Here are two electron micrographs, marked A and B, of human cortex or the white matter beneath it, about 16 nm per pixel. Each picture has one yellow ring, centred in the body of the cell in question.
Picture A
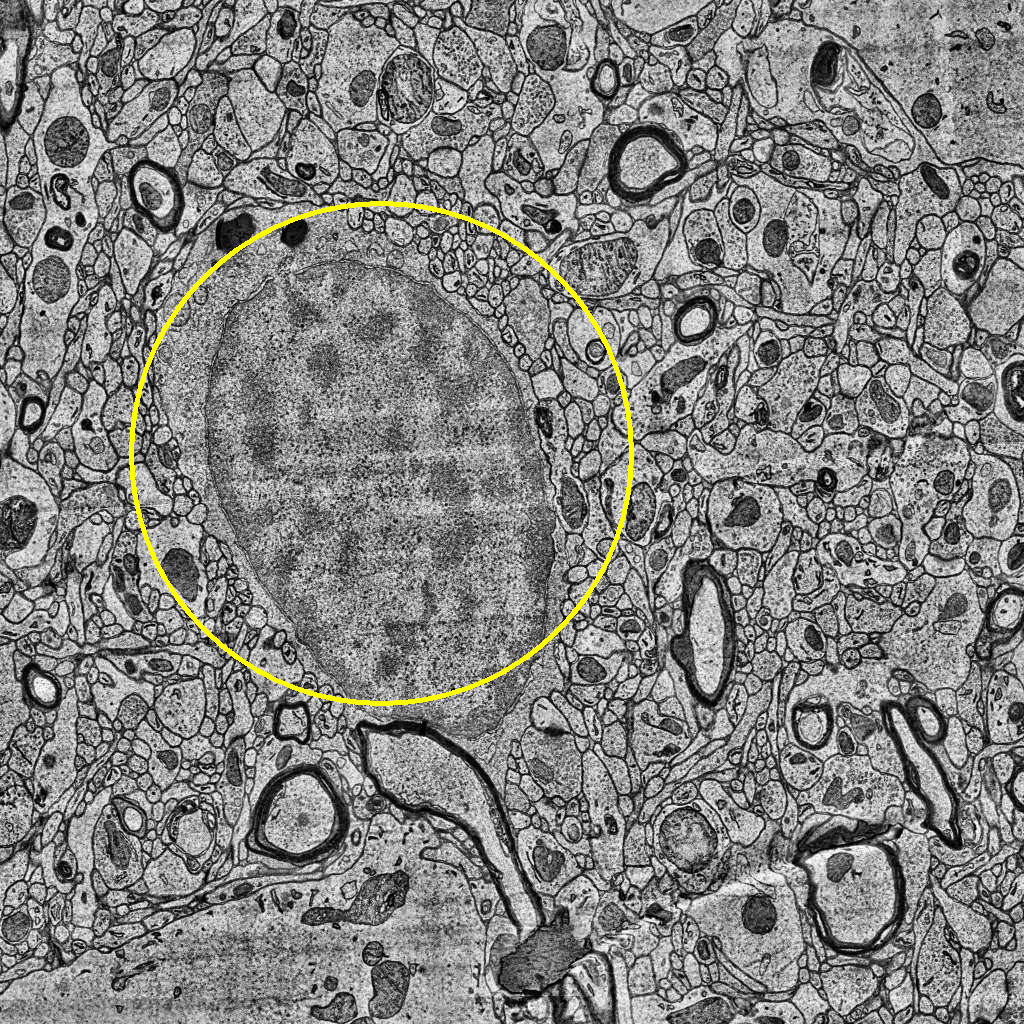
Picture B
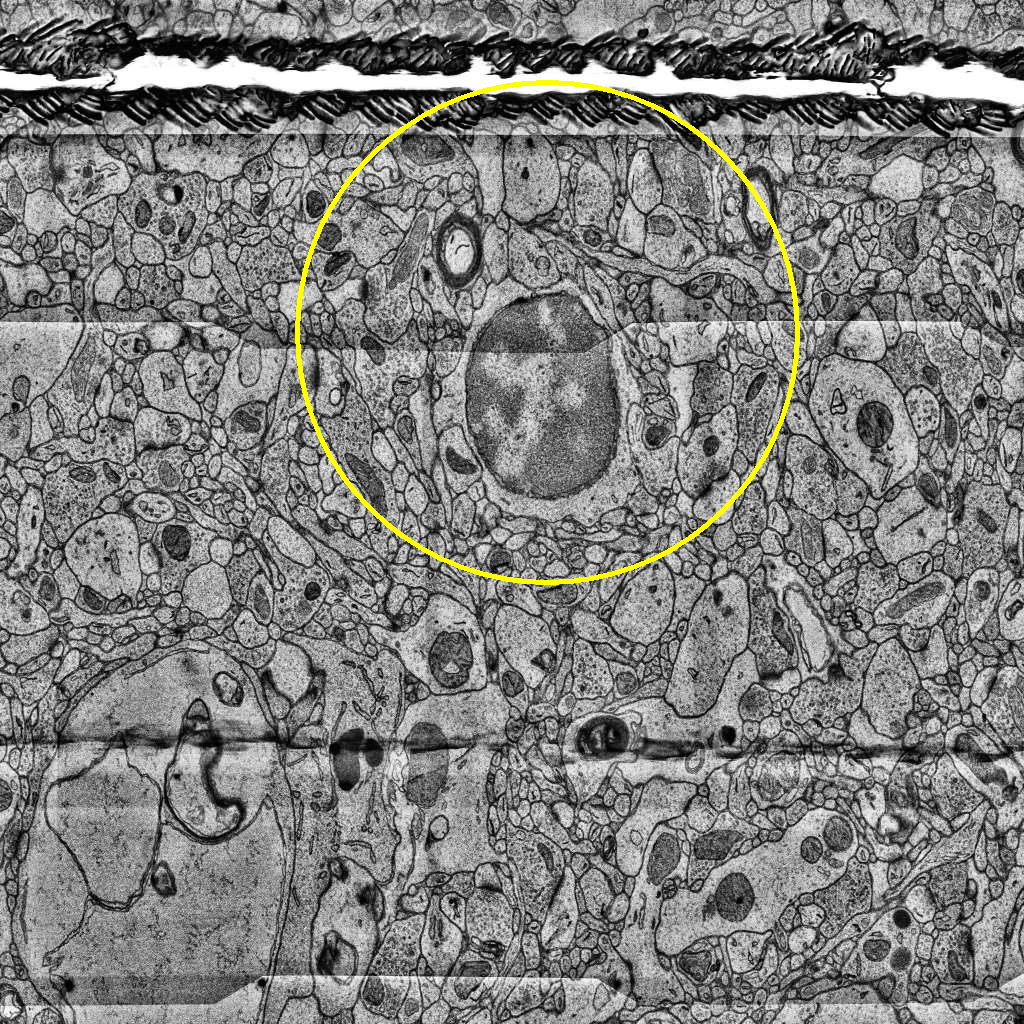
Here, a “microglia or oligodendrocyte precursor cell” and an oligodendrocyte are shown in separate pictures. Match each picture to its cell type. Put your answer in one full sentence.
In picture A the cell is an oligodendrocyte; in picture B, a “microglia or oligodendrocyte precursor cell”.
